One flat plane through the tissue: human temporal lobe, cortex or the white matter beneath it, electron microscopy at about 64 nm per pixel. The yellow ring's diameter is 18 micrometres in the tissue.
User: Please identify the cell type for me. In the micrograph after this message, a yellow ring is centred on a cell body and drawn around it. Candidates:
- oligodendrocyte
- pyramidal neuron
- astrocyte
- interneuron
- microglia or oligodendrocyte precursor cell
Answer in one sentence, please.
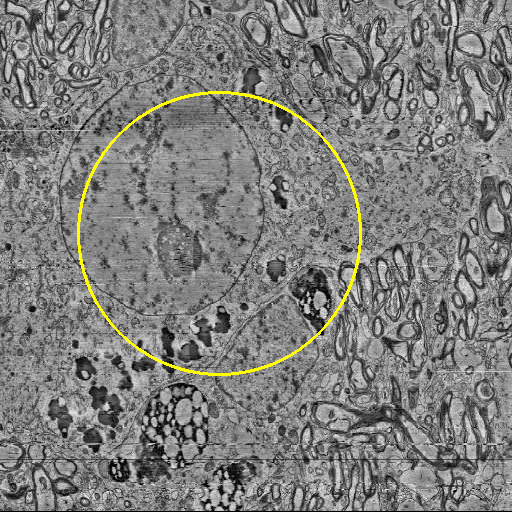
The ring is drawn around the cell body of a pyramidal neuron.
